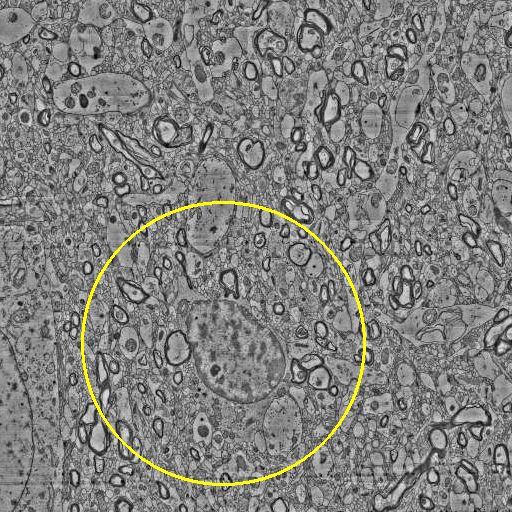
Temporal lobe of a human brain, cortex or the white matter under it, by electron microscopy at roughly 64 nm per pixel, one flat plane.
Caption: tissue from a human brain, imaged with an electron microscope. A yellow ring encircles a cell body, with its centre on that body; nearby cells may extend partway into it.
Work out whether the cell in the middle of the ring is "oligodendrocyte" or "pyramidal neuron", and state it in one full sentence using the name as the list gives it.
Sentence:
In the picture, the cell that the yellow ring surrounds at its centre is an oligodendrocyte.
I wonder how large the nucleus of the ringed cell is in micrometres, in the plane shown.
The nucleus has a long axis of about 8 micrometres and a short axis of about 5 micrometres in this plane.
